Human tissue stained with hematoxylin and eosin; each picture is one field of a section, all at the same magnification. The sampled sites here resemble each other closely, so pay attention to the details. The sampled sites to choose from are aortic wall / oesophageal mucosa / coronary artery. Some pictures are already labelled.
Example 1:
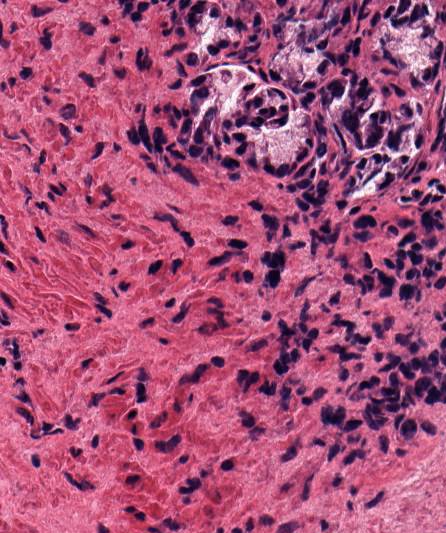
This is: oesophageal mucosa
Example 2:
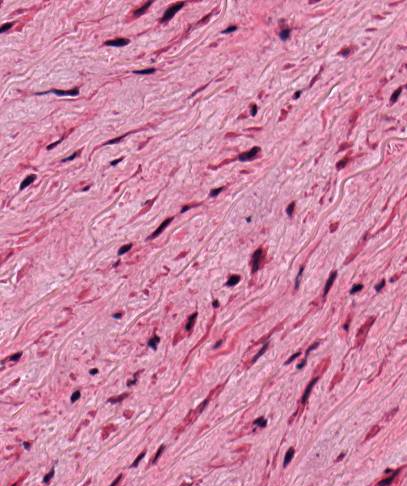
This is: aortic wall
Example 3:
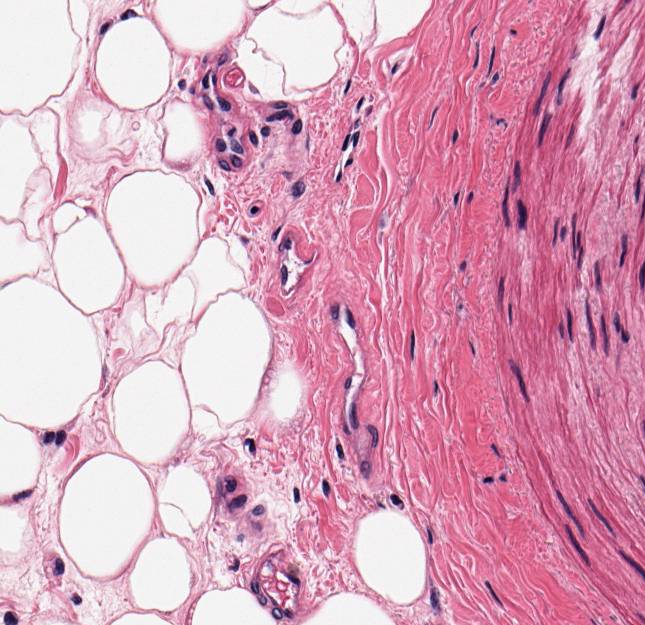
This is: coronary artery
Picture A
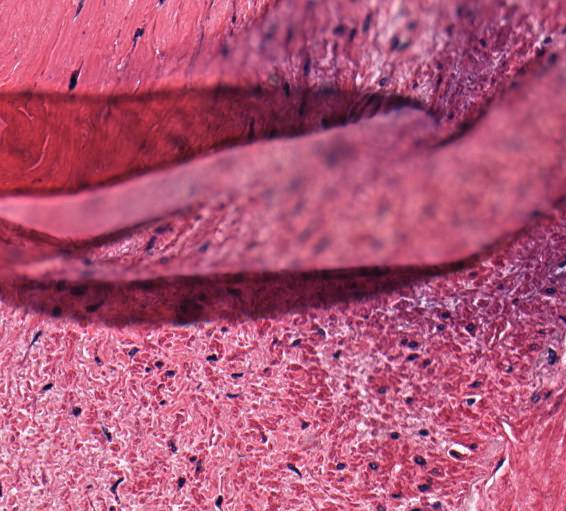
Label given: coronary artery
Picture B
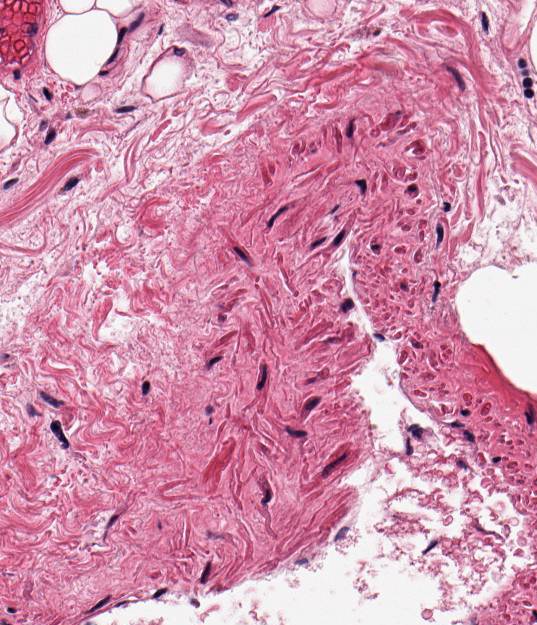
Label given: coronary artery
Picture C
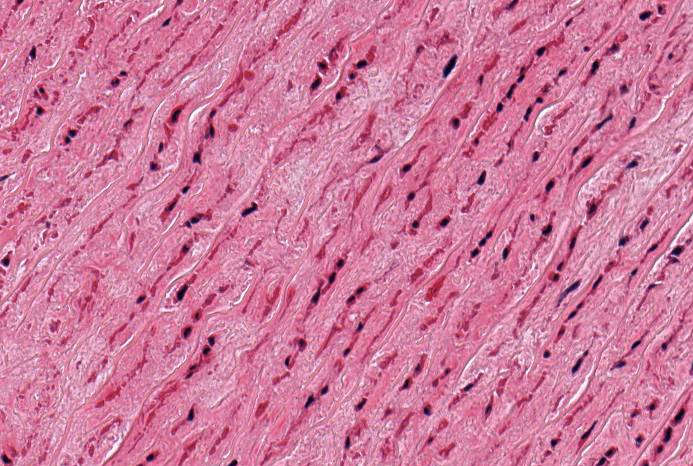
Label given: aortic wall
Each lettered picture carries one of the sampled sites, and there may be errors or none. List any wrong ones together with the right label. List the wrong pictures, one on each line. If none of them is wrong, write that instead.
Nothing to fix; every label fits.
